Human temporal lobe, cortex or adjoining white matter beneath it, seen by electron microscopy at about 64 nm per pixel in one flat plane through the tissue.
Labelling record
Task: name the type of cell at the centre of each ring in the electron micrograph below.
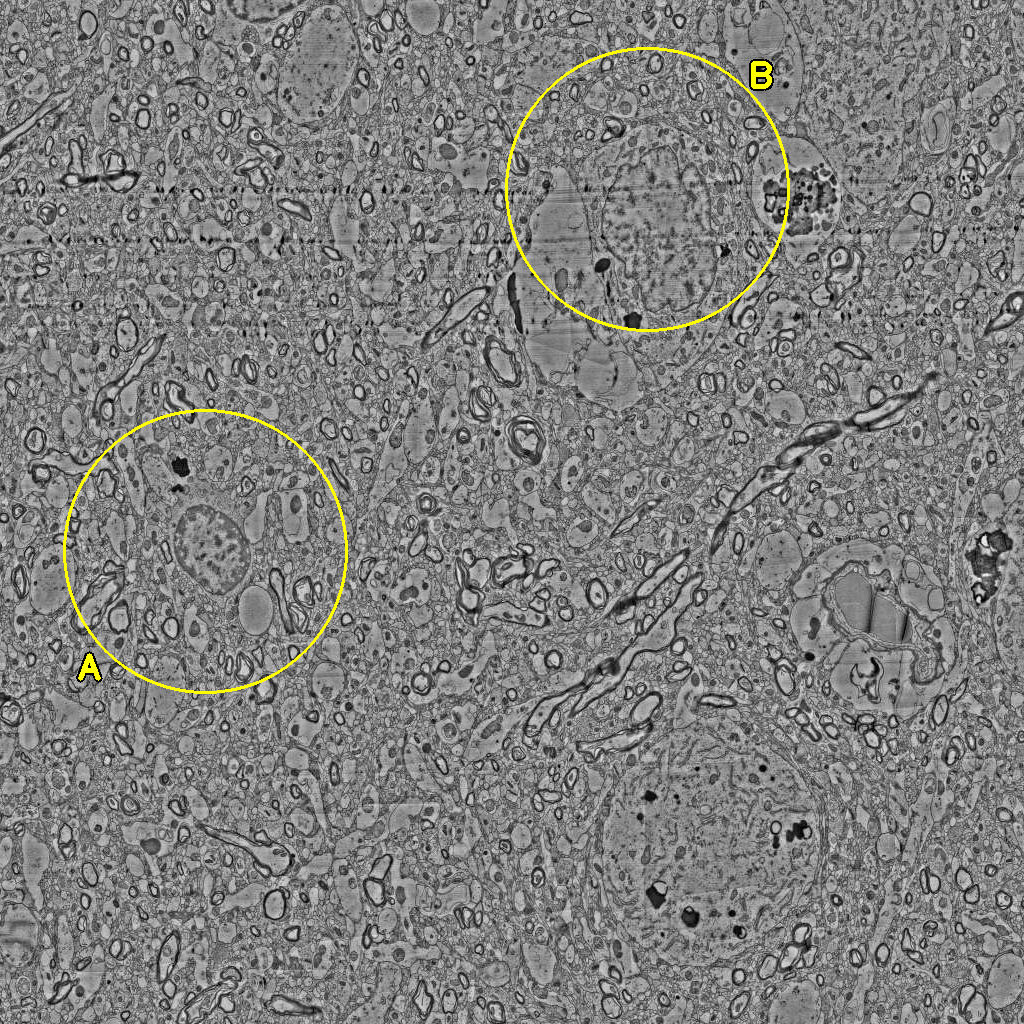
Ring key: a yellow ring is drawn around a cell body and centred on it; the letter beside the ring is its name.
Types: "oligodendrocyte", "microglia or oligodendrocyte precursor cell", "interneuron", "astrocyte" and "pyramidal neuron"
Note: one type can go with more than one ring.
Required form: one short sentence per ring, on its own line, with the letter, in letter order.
In ring A, the centred cell is an oligodendrocyte.
In ring B, the centred cell is an interneuron.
